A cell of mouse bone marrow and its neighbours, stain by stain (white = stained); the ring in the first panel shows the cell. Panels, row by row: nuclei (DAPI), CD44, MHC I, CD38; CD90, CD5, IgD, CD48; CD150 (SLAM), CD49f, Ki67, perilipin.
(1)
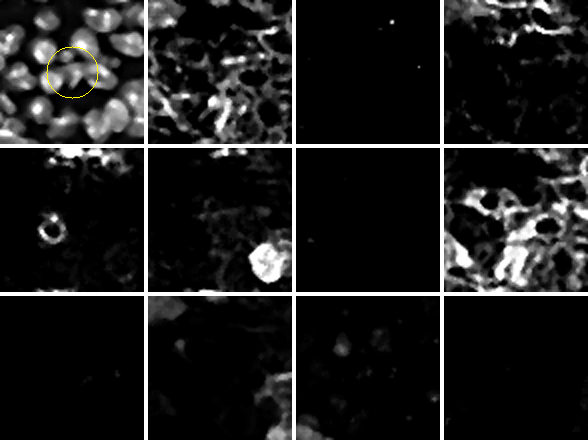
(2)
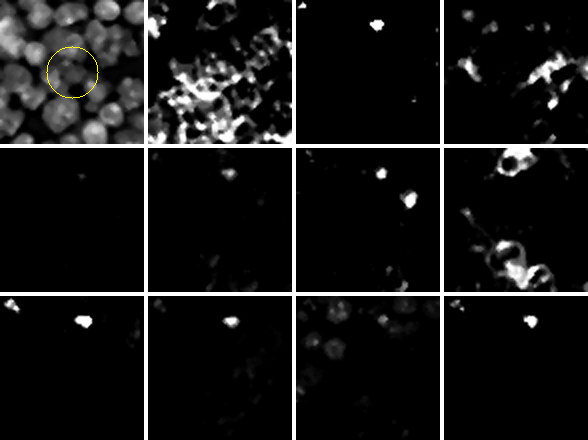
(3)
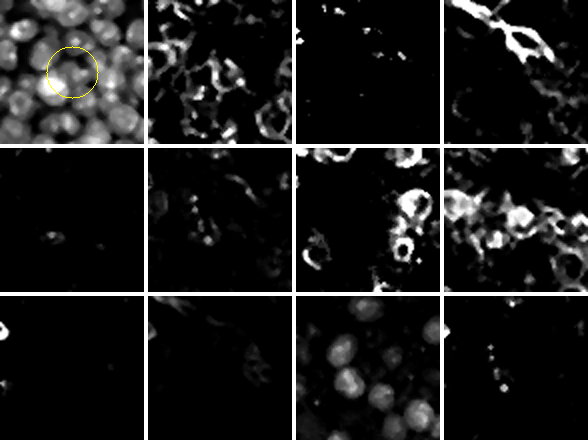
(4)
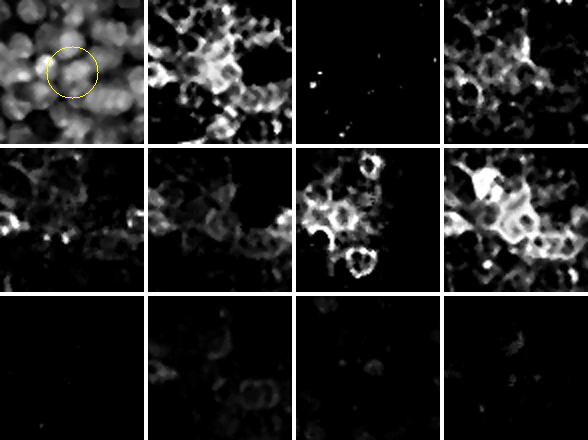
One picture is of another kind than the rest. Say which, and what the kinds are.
Picture 2 shows a neutrophil; the rest show monocytes.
